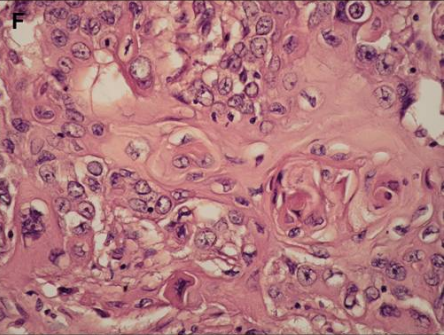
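These are large malignant squamous tumor cells seen at high power. Nuclei are large, round to oval and pale with open chromatin, and most hold a clear, dark nucleolus. On the right a small concentric whorl of pink, layered material forms a keratin pearl. Between cell groups there are clear spaces where cells have pulled apart from each other, and some cells lie loose and rounded within them. A few nuclei are darker and irregular.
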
